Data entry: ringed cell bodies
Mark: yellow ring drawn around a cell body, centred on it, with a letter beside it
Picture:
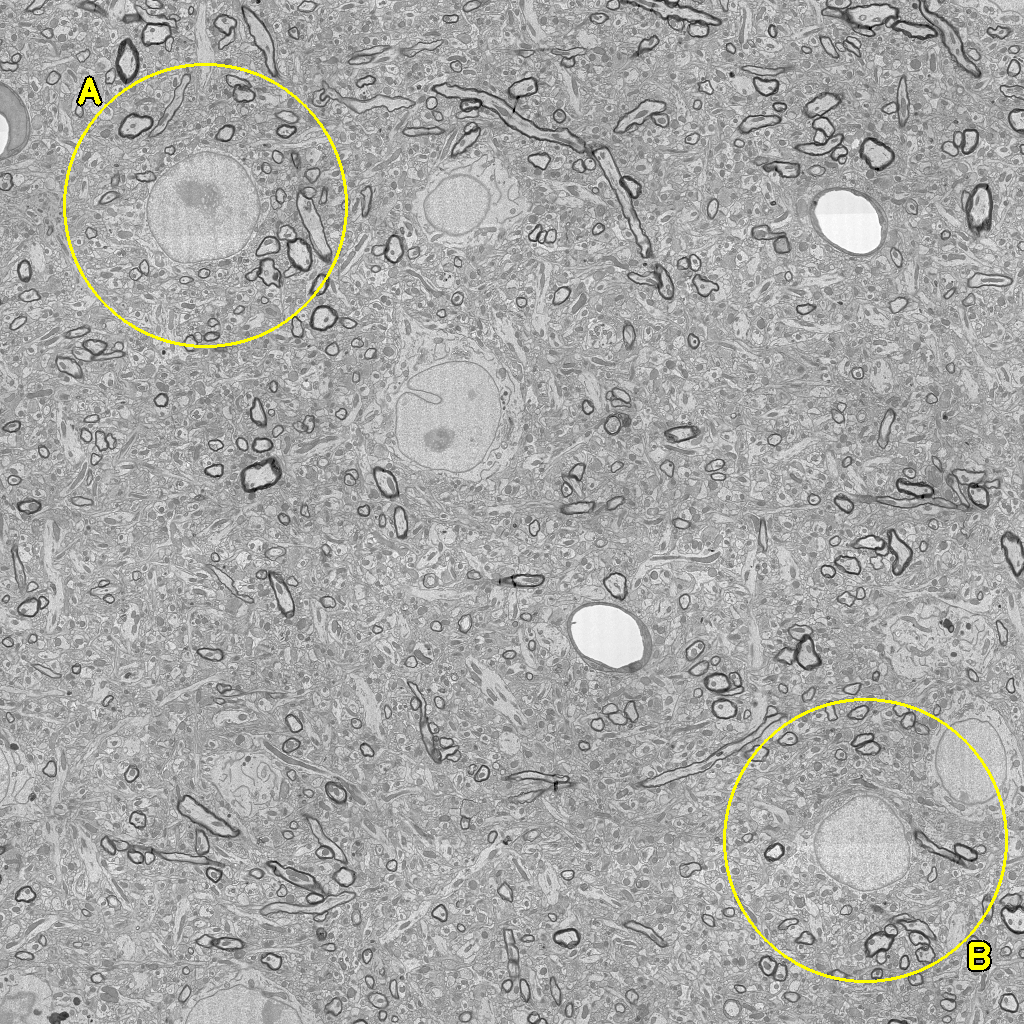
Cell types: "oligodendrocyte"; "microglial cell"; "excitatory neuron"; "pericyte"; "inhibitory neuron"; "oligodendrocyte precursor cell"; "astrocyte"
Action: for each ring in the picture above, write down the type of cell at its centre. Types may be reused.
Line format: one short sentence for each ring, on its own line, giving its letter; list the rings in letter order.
For ring A, the cell at the centre is an astrocyte.
For ring B, the cell at the centre is an astrocyte.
